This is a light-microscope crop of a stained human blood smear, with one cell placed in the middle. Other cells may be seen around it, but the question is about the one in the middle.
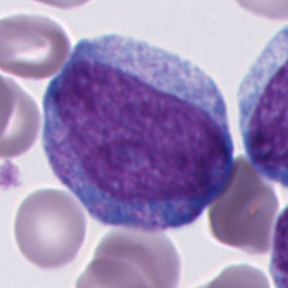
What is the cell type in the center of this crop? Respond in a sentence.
Answering briefly, the cell in the middle is a promyelocyte.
